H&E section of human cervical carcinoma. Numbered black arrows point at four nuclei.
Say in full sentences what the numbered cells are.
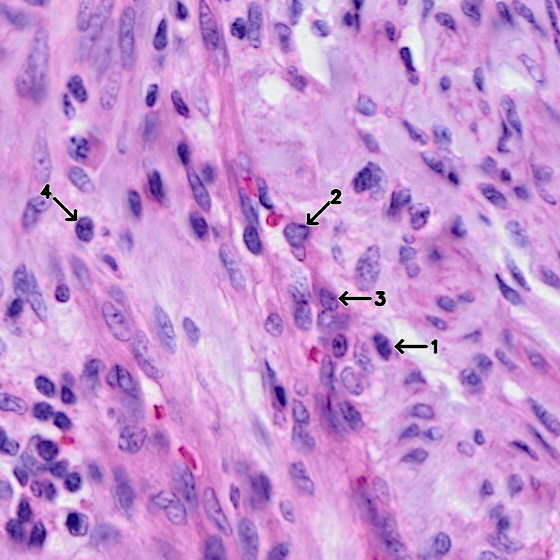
Cell 1 is a lymphocyte, cell 2 is an endothelial cell, cell 3 is an endothelial cell and cell 4 is a lymphocyte.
